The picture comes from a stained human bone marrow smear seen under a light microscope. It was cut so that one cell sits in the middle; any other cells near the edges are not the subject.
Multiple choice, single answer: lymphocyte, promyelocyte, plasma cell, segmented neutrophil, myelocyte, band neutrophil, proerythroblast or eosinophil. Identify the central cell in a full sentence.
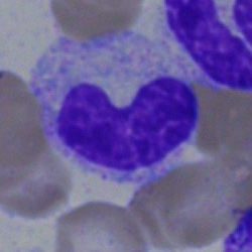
The cell of interest, located centrally, is a band neutrophil.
